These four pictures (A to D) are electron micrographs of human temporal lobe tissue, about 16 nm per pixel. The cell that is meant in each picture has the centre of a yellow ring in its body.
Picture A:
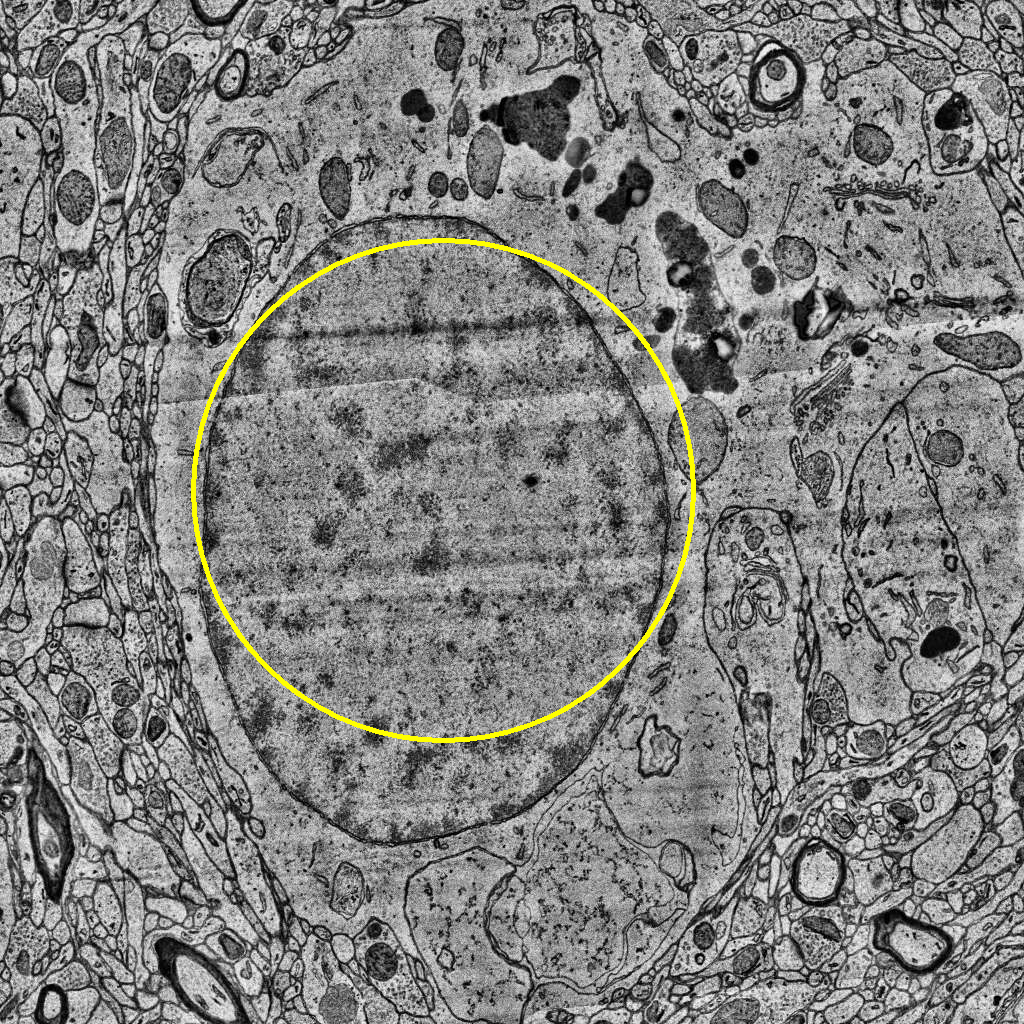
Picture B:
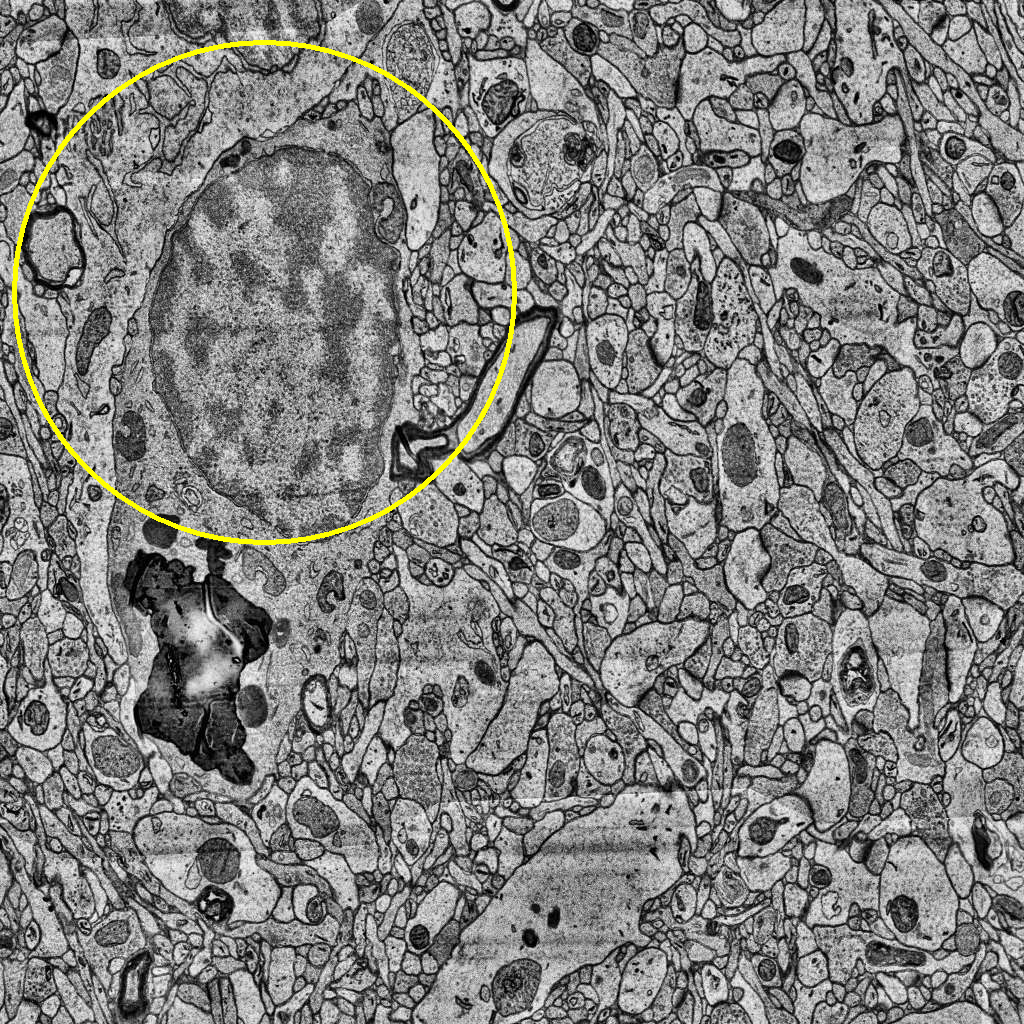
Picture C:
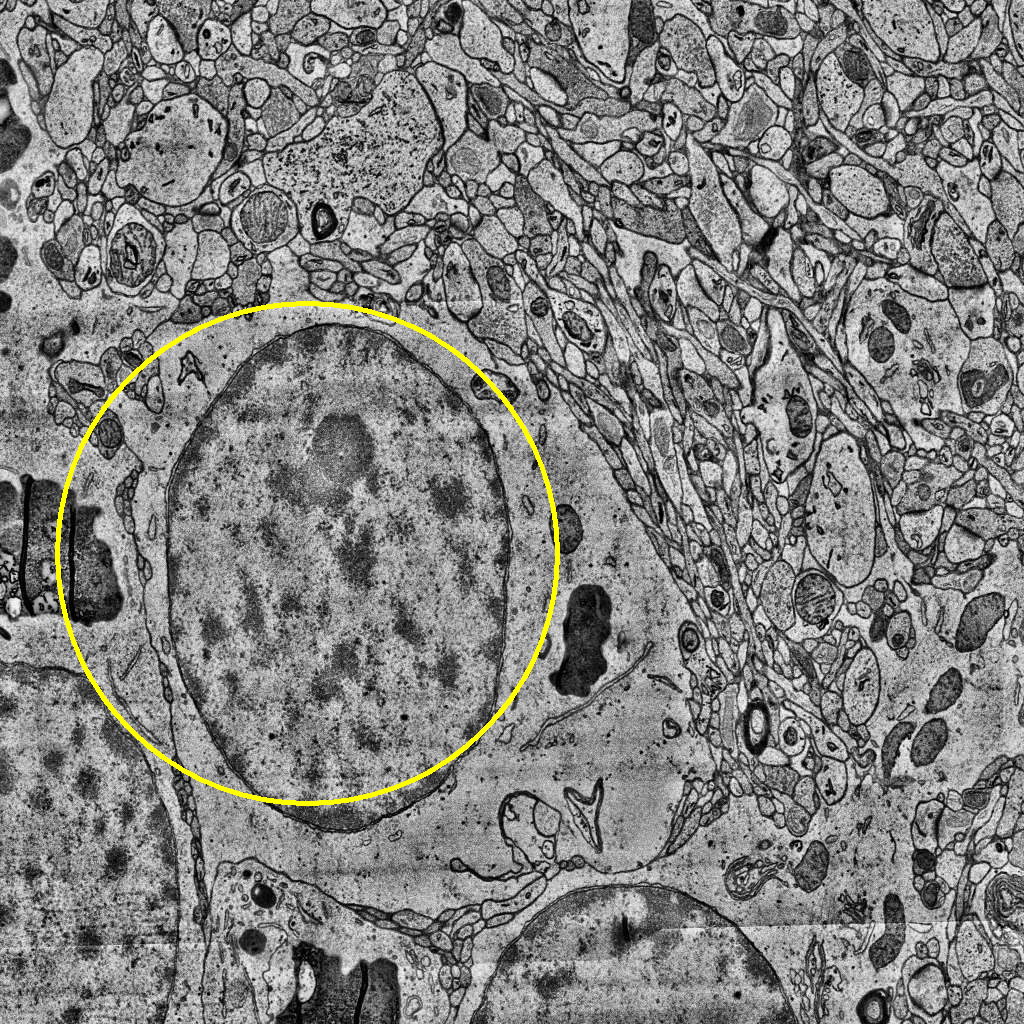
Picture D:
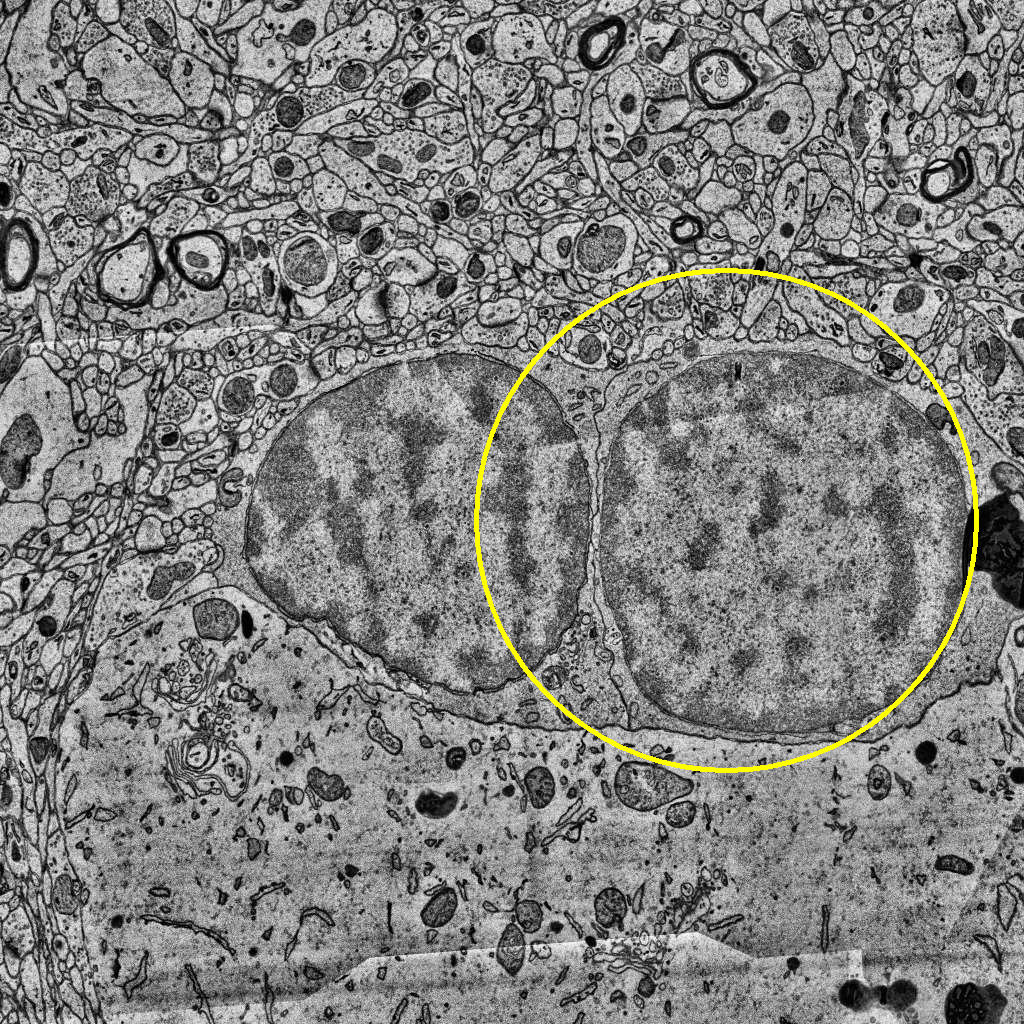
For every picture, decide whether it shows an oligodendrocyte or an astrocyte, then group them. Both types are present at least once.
Pictures B and D show oligodendrocytes, and pictures A and C show astrocytes.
